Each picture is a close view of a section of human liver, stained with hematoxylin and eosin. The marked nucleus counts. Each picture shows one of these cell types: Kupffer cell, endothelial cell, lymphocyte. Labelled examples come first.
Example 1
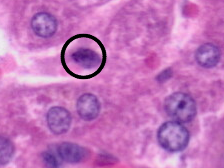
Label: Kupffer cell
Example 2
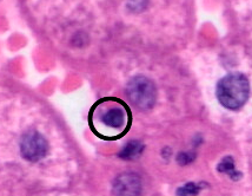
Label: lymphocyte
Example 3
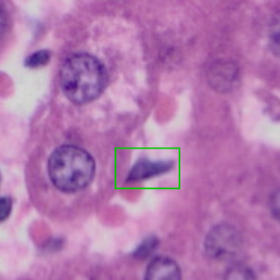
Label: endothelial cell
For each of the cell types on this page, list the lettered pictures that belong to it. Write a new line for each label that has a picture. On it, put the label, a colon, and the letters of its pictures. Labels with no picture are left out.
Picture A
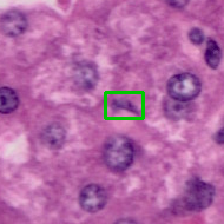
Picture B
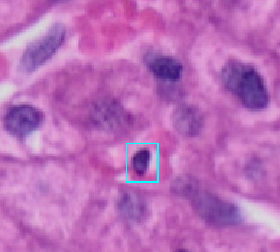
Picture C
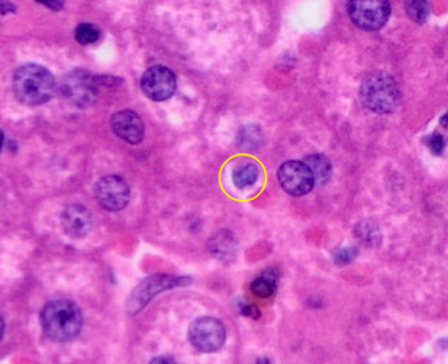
endothelial cell: A
lymphocyte: B, C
